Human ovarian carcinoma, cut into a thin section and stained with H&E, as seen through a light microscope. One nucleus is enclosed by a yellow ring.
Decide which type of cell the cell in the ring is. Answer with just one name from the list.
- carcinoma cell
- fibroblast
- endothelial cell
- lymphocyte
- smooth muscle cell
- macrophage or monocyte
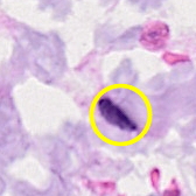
fibroblast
